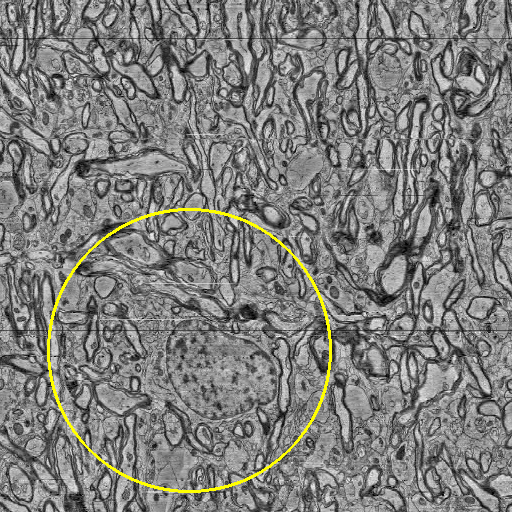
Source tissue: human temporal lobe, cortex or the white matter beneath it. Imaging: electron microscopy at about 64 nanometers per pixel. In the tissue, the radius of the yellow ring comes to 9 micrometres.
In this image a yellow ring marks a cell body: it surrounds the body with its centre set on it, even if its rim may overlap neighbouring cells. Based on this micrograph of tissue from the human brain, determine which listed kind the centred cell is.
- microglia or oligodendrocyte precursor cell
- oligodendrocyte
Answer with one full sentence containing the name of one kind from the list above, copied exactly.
It is a microglial cell or oligodendrocyte precursor cell whose body the yellow ring encloses at its centre.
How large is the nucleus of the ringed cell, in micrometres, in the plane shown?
The nucleus comes to roughly 8 by 6 micrometres in this plane.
